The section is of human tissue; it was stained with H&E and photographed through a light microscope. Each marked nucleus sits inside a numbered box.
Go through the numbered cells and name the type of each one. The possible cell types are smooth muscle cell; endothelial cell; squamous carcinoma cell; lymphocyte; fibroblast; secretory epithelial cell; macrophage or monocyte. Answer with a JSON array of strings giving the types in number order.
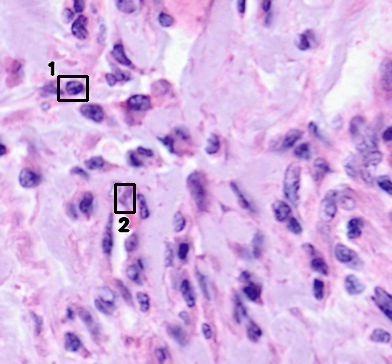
["lymphocyte", "endothelial cell"]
